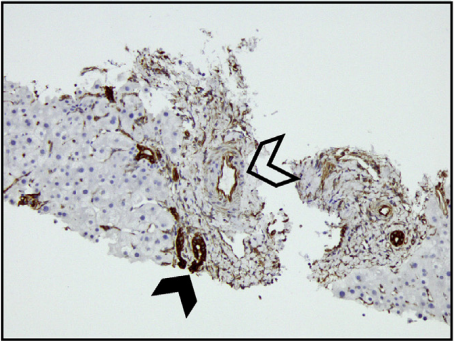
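This is a needle biopsy of liver, with plates of hepatocytes on the left and a fibrous portal area in the middle. The hepatocytes are large polygonal cells with round blue nuclei and pale cytoplasm that is largely unstained. In the loose fibrous portal tissue, a small bile duct is lined by cuboidal biliary epithelial cells stained dark brown. Nearby, thin-walled vessels are lined by flat endothelial cells that also carry the brown stain.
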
